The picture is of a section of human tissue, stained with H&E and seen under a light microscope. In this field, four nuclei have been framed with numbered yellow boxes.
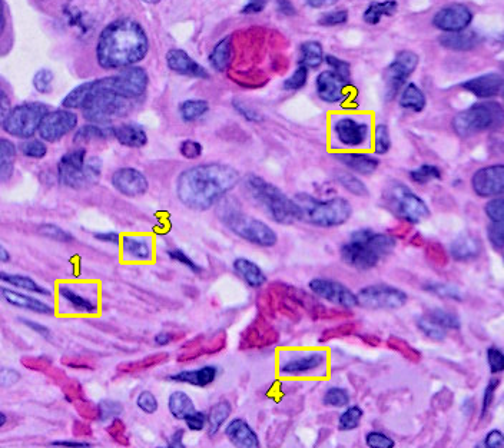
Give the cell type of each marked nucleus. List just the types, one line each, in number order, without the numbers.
fibroblast
lymphocyte
fibroblast
fibroblast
